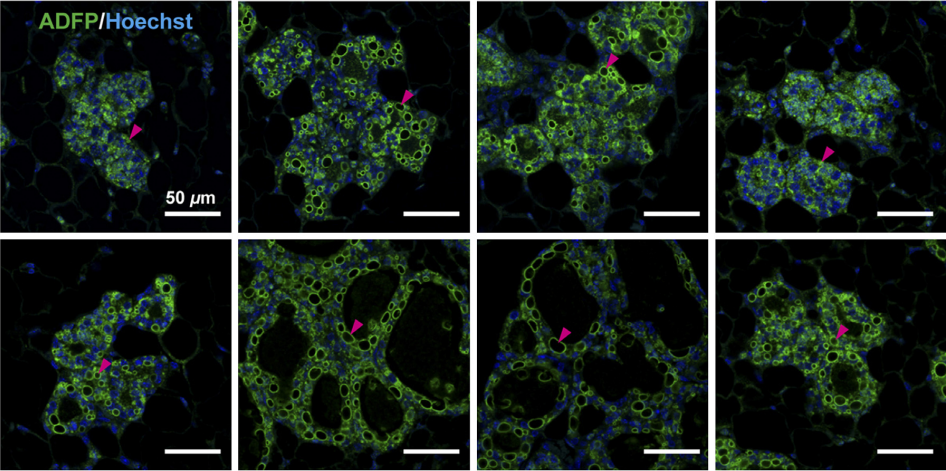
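Eight fluorescence images of mammary gland show clusters of epithelial cells arranged in rounded alveolar groups, lying among large empty polygonal spaces outlined by thin faint lines, the fat cells of the surrounding tissue. Within the clusters, blue nuclei sit among many round cytoplasmic lipid droplets, each seen as a dark centre surrounded by a bright green ring. In several images the droplets are small and densely packed, while in others many droplets are large, giving the clusters a bubbly, foamy appearance around wide alveolar lumens.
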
